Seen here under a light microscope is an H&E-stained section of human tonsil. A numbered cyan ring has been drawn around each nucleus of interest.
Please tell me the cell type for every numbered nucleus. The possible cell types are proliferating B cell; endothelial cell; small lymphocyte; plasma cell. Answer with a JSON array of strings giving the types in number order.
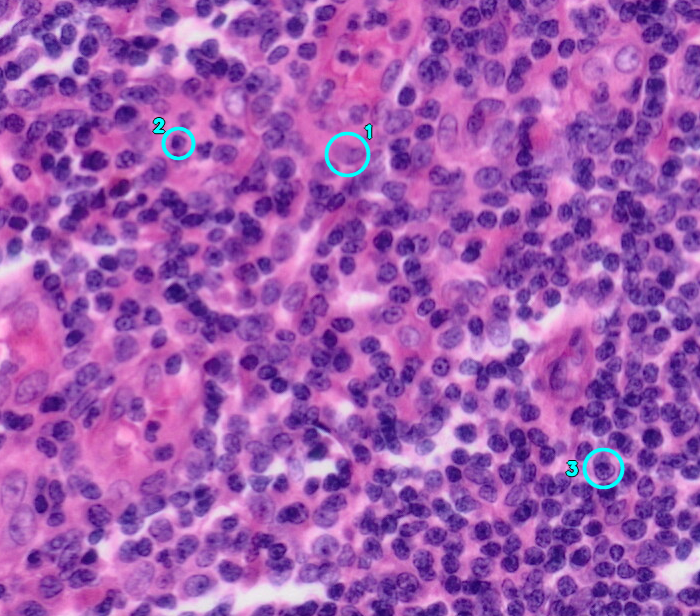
["endothelial cell", "endothelial cell", "small lymphocyte"]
